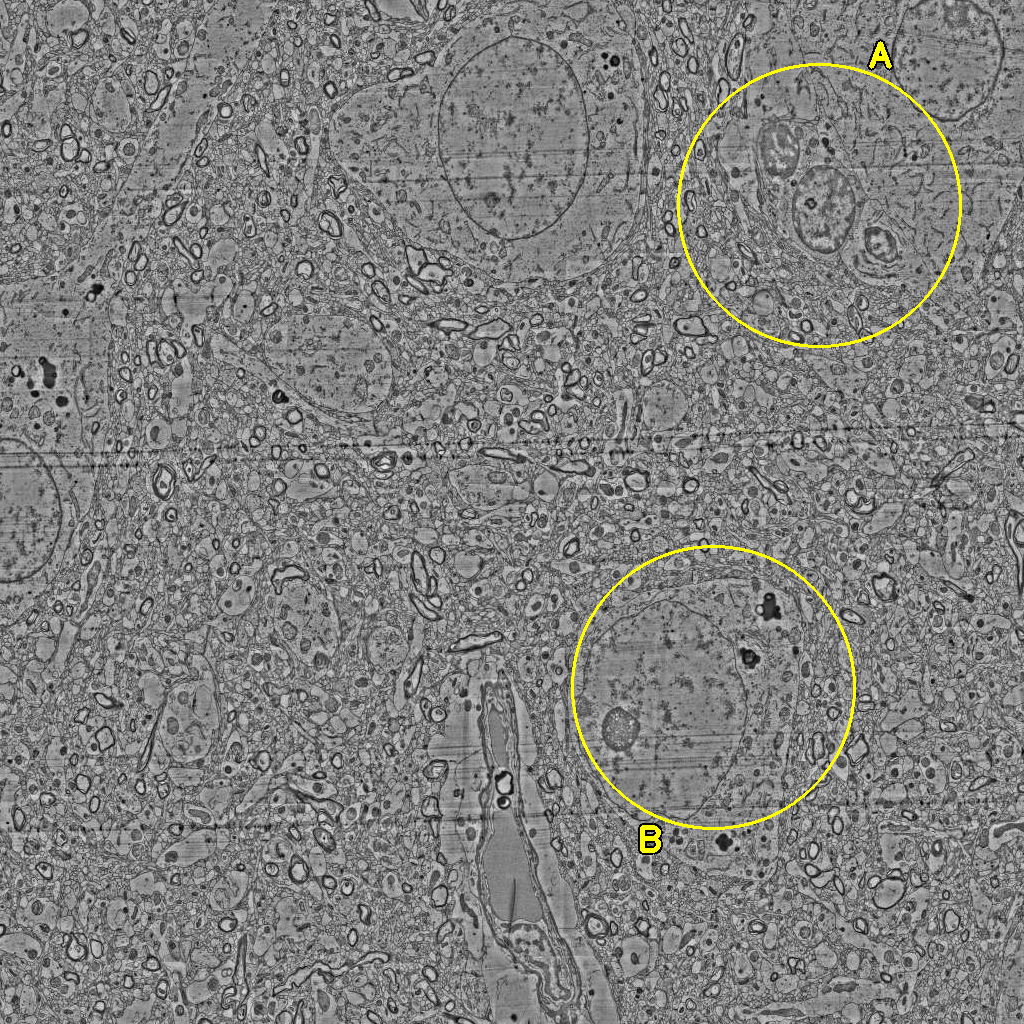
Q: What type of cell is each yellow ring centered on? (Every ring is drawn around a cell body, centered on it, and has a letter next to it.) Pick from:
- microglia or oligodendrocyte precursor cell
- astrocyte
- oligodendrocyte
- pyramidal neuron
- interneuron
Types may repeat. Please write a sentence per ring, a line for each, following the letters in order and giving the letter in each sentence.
The cell body centered in ring A belongs to an oligodendrocyte.
The cell body centered in ring B belongs to a pyramidal neuron.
